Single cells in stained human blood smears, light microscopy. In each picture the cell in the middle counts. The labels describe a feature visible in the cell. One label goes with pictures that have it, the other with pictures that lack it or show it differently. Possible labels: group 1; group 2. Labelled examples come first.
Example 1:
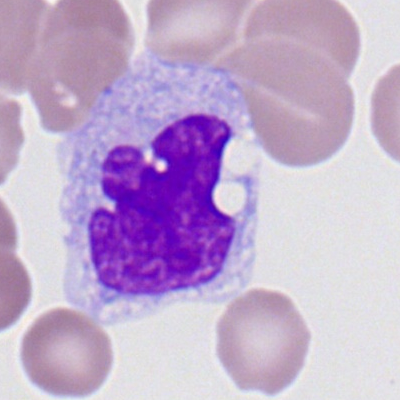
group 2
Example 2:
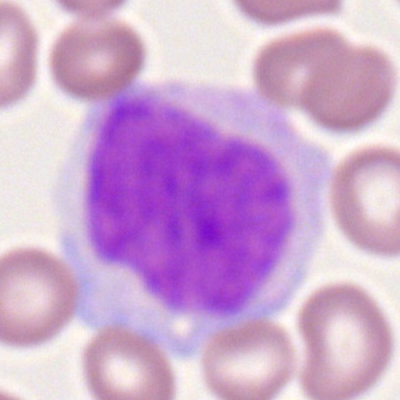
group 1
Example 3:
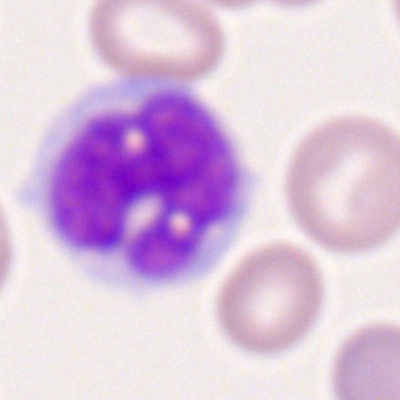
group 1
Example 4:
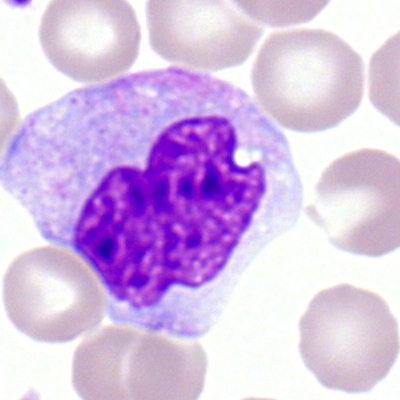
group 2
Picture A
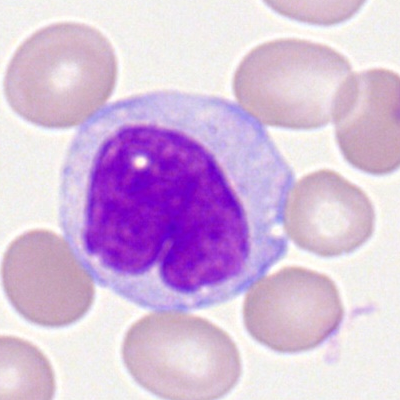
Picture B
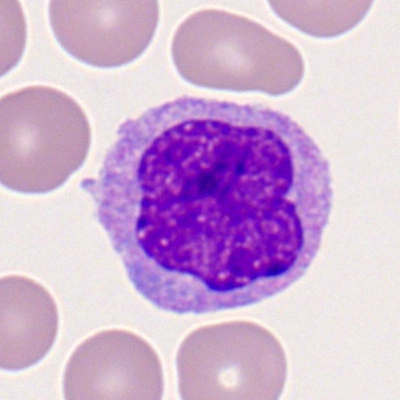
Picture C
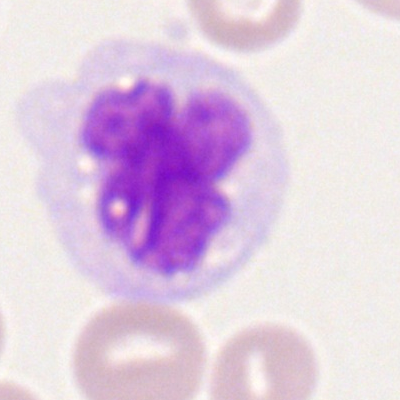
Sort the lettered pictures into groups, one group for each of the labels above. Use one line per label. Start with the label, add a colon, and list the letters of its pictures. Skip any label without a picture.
group 1: B
group 2: A, C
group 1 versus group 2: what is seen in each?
group 1, scant cytoplasm; group 2, abundant cytoplasm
